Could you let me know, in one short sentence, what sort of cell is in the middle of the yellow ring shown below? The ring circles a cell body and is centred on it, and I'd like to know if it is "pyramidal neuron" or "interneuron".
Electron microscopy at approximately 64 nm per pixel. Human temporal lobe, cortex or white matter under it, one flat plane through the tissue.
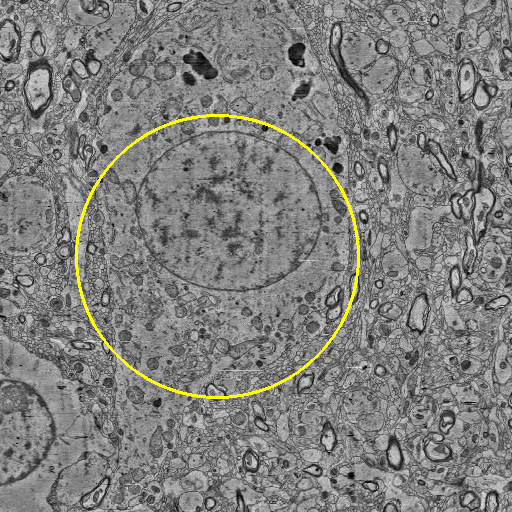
The ring circles the cell body of an interneuron.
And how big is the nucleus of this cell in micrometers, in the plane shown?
In this plane, the nucleus measures approximately 11 micrometres across.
